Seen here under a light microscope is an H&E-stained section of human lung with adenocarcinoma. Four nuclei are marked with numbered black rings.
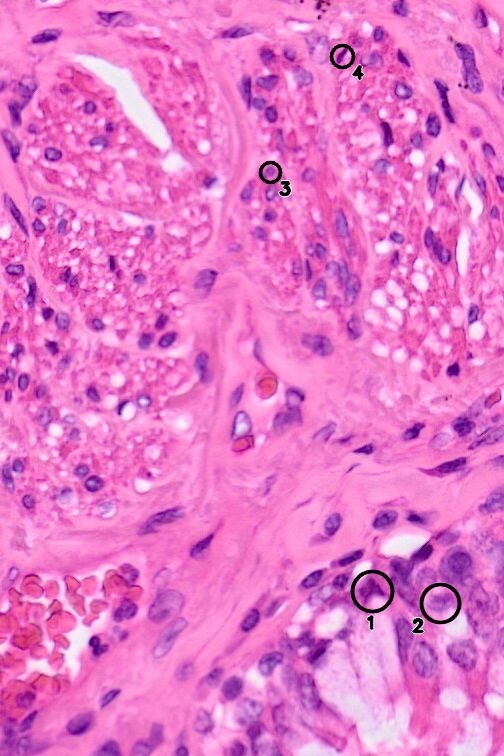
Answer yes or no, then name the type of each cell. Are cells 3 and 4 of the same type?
Yes, among the marked cells, numbers 3 and 4 are both smooth muscle cells or pericytes.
